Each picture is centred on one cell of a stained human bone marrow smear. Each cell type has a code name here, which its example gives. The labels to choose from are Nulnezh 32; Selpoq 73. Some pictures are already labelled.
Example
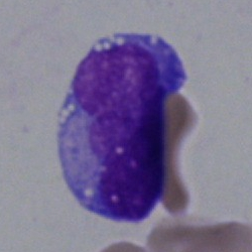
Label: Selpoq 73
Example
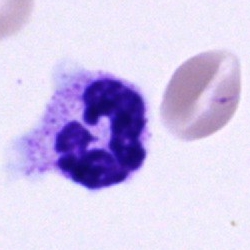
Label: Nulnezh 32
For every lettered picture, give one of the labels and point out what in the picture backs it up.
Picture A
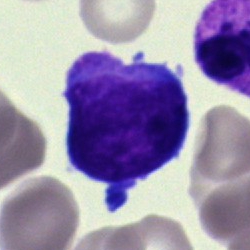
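Selpoq 73: The cytoplasm is scant, forming only a thin rim.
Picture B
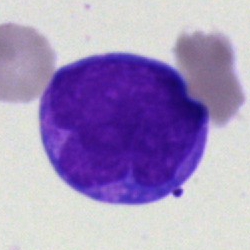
Selpoq 73: The nucleus fills most of the cell and has a cleft in its lower edge.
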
